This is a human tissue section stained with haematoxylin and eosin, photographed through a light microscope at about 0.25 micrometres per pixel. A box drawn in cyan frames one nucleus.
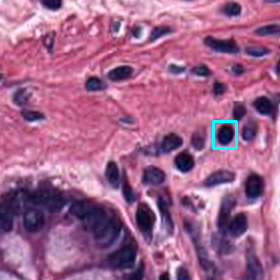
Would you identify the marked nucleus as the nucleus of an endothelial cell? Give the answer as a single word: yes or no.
no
